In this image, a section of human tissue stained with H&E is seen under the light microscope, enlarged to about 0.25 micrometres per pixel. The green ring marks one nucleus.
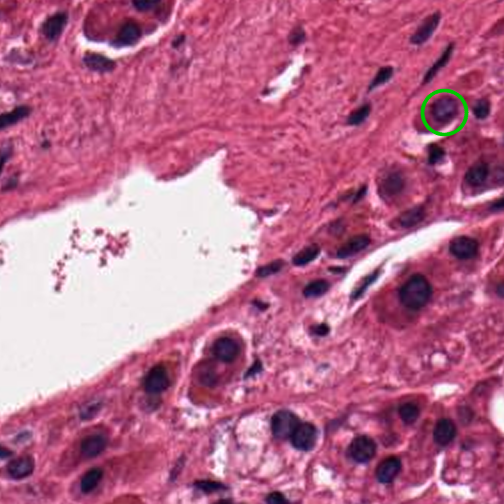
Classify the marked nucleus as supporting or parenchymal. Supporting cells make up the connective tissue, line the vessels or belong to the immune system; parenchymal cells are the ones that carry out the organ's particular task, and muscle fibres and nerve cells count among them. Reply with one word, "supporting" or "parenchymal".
parenchymal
